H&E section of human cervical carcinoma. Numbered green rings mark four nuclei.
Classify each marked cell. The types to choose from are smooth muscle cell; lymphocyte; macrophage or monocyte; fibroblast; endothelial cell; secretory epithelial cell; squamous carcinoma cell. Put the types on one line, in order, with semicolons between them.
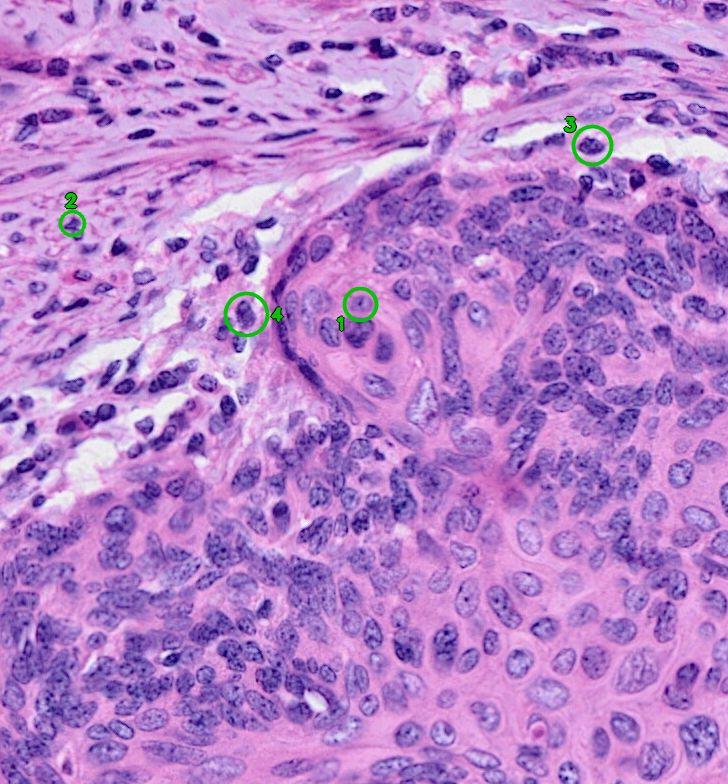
squamous carcinoma cell; smooth muscle cell; lymphocyte; lymphocyte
